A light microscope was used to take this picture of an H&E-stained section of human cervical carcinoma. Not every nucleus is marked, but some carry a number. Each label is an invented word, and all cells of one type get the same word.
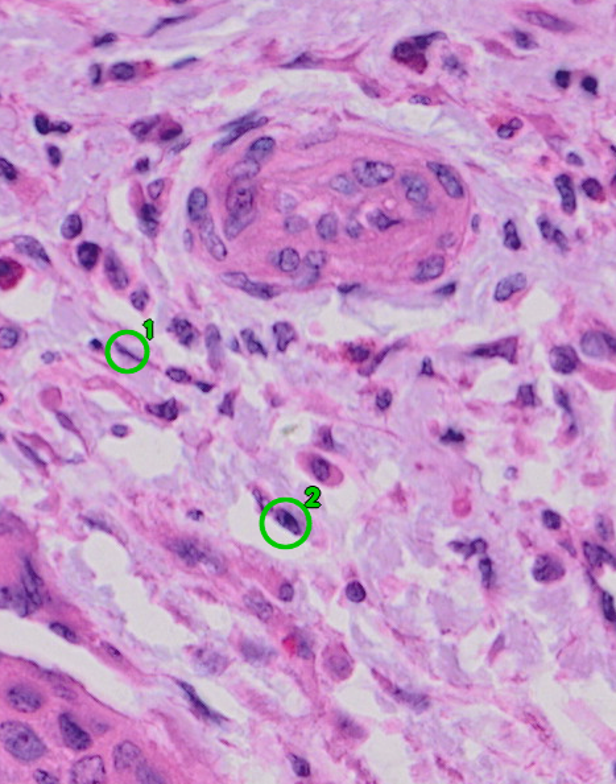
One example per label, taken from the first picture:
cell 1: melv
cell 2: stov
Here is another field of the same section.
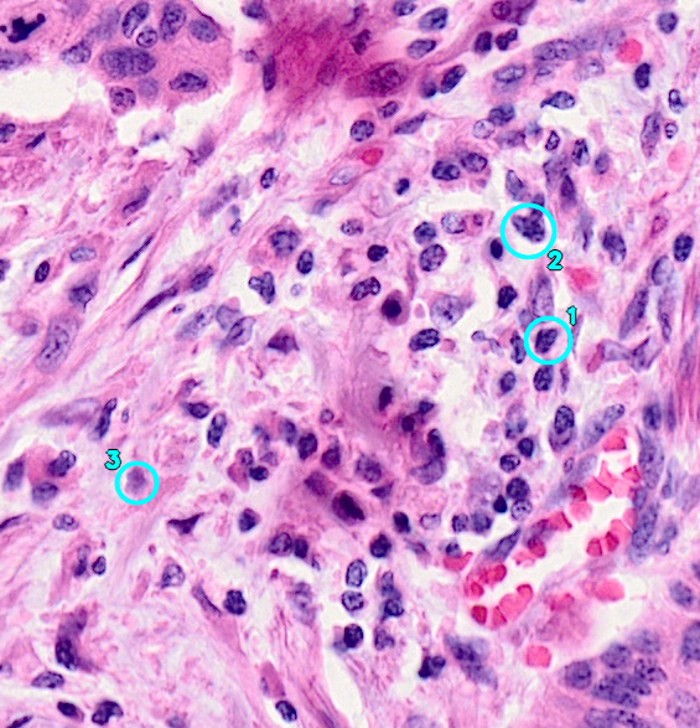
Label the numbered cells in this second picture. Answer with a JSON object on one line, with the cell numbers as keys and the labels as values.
{"1": "stov", "2": "stov", "3": "melv"}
